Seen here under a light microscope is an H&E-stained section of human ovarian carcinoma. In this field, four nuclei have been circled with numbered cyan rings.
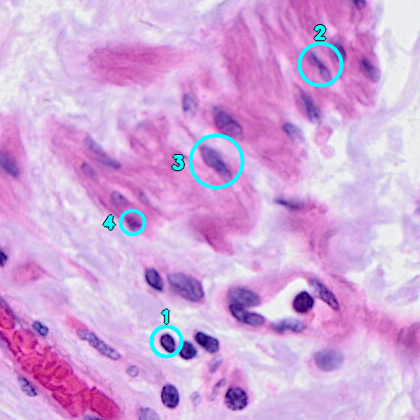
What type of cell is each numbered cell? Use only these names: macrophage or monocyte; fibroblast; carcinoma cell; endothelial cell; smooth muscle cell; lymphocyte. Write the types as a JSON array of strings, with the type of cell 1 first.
["lymphocyte", "smooth muscle cell", "smooth muscle cell", "smooth muscle cell"]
